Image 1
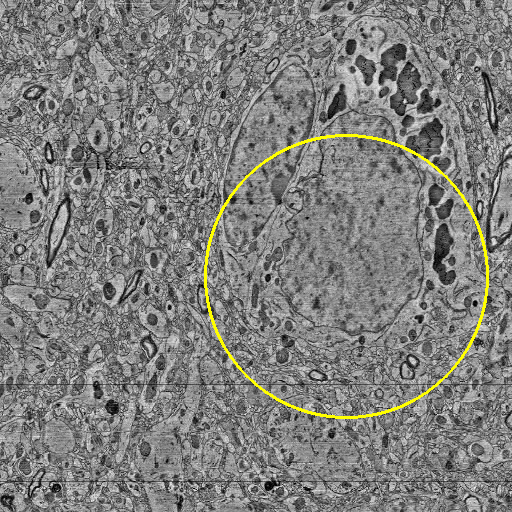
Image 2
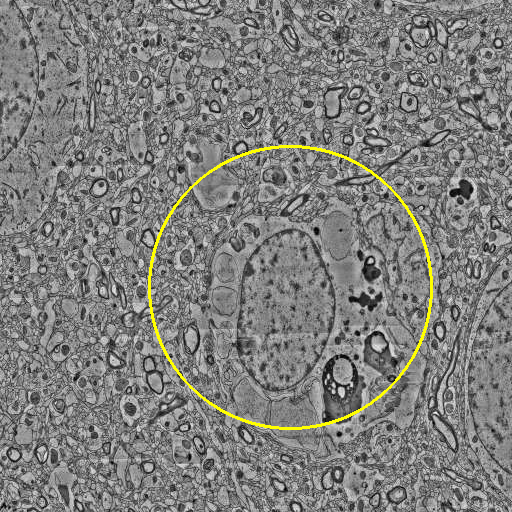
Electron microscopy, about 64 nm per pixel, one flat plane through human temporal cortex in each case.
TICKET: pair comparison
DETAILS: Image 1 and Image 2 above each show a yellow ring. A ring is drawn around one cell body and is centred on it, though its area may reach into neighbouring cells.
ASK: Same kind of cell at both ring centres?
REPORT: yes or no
no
